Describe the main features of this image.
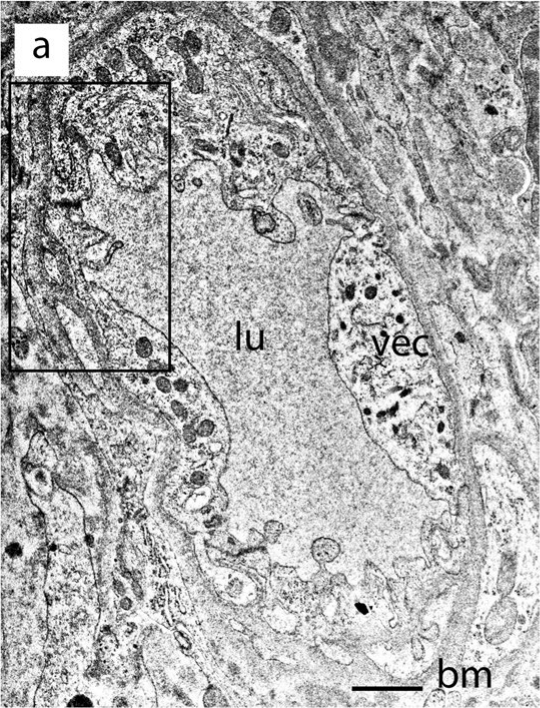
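This electron micrograph shows a capillary in the connective tissue stroma, its lumen lined by vascular endothelial cells. The lumen is irregular and narrowed, and its outline carries small rounded and finger-like projections that reach into it. One endothelial cell on the right bulges into the lumen; its pale cytoplasm is swollen and holds scattered small dark bodies and debris in place of orderly organelles. Around the vessel runs a band of basement membrane, somewhat thickened, and beyond it lie elongated stromal cell processes and profiles containing mitochondria. The lumen itself holds finely granular, evenly grey material.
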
